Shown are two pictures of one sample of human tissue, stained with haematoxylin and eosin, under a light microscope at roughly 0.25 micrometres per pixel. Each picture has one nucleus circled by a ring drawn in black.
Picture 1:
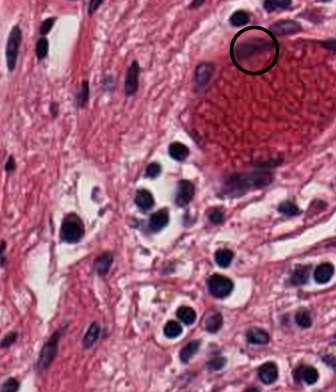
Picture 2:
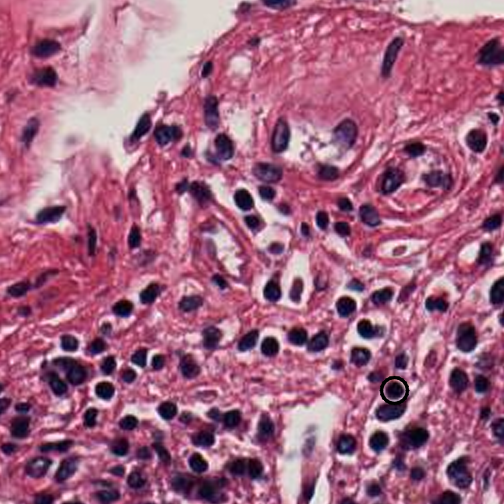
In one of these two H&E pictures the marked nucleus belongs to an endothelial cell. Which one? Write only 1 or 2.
1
